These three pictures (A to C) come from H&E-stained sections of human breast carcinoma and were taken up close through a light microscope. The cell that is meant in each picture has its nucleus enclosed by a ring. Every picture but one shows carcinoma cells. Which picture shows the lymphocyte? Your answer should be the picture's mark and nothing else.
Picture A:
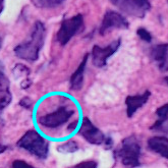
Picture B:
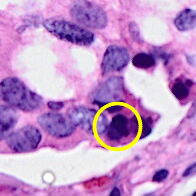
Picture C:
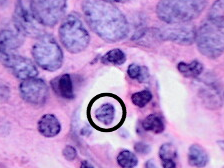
C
